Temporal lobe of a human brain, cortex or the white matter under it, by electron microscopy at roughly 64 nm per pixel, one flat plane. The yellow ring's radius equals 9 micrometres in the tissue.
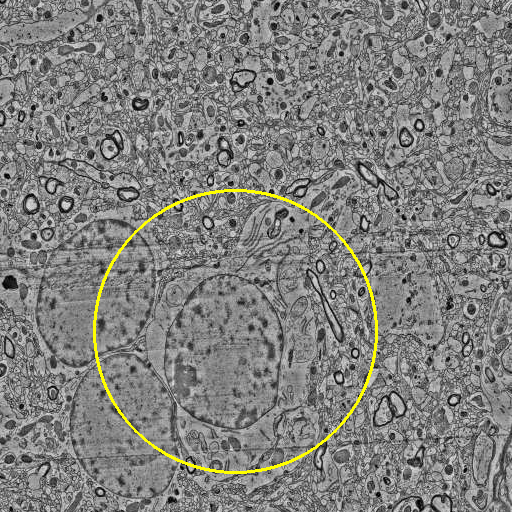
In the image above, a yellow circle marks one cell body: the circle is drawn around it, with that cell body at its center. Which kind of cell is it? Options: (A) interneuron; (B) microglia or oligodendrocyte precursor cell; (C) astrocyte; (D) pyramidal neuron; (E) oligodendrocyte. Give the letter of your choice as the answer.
C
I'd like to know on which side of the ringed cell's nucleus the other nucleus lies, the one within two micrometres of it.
The other nucleus is found to the lower left of it.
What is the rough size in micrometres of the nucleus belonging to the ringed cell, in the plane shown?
Roughly 10 by 8 micrometres in this plane, for the nucleus of the ringed cell.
